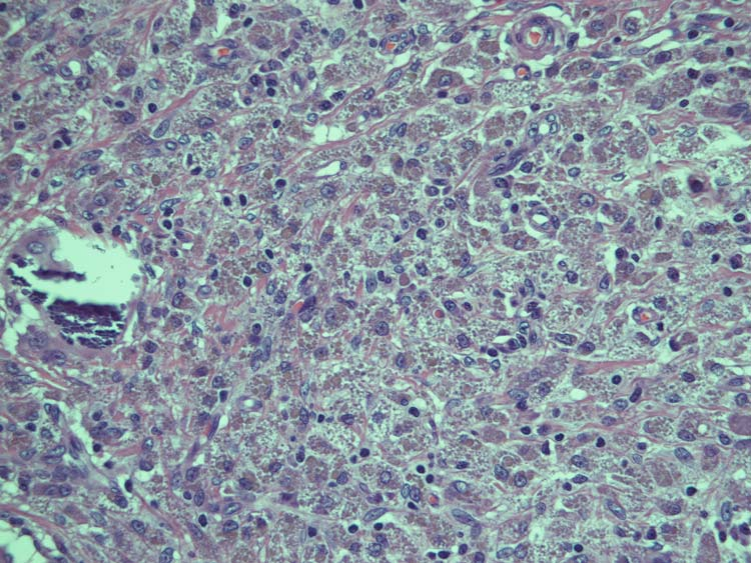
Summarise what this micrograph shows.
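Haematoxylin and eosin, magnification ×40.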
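This is a dense inflammatory infiltrate made up mostly of histiocytes: large polygonal cells packed in sheets, each with plentiful granular pink-brown cytoplasm and a round to oval, fairly pale nucleus. Small cells with dark, round nuclei are scattered among them, and thin pink strands of connective tissue run between the groups of cells. A few small vessels containing red blood cells cross the field.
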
